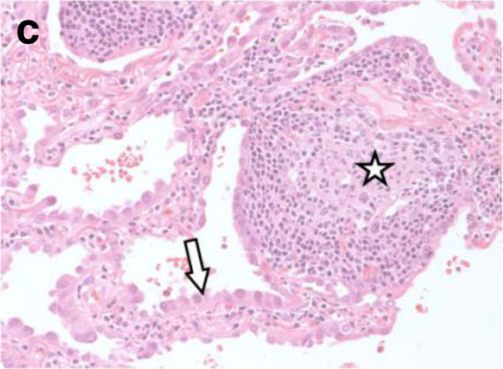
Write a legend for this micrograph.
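This is a lepidic growth region of lung adenocarcinoma, with thin alveolar walls lined by a row of neoplastic cuboidal to low columnar cells. The lining cells have rounded nuclei and sit side by side along the alveolar surfaces, some spaces containing red blood cells. In one area the interstitium is focally expanded by a rounded nodule of lymphoid follicular hyperplasia. The nodule is made of tightly packed small round lymphoid cells with a paler centre.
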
